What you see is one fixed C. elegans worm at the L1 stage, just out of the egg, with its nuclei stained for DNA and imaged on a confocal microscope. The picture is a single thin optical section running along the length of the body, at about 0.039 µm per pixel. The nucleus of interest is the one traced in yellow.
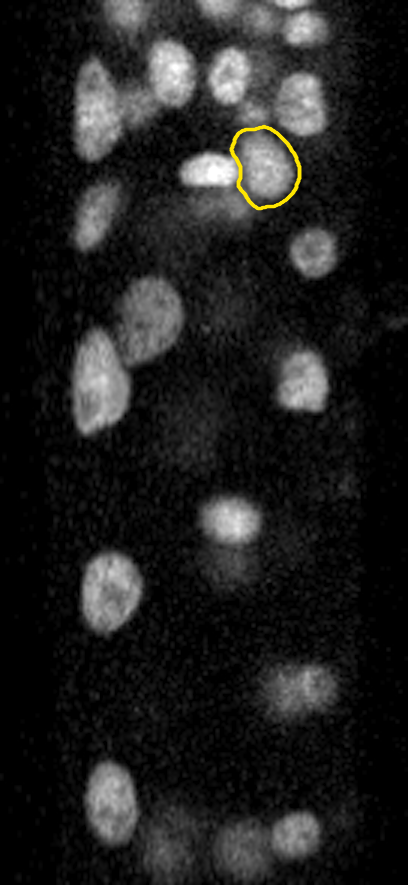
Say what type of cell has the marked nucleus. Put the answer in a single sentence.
This is the nucleus of a cell of the excretory system.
